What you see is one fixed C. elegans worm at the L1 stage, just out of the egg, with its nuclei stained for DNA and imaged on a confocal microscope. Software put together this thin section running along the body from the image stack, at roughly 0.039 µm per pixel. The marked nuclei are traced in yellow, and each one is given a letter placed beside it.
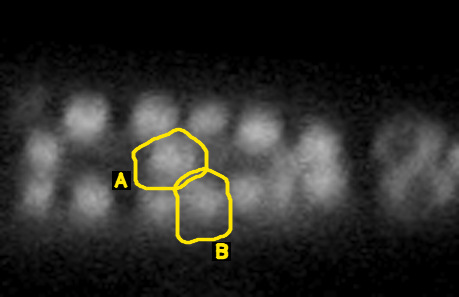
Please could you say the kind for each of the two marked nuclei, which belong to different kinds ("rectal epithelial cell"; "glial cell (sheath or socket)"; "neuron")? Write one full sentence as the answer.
The nucleus A is that of a rectal epithelial cell, while B is that of a neuron.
